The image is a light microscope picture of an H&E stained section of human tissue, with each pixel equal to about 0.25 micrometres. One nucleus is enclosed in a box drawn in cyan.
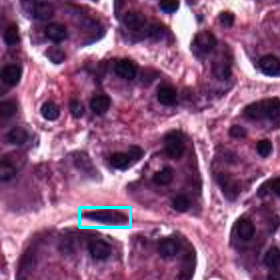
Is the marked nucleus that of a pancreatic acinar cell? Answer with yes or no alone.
no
